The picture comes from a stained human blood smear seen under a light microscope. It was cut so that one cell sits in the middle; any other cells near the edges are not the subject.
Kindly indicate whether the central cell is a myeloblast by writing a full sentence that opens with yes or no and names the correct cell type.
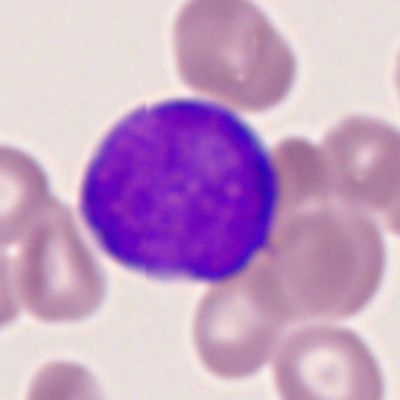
Yes, the cell that lies centrally is a myeloblast.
